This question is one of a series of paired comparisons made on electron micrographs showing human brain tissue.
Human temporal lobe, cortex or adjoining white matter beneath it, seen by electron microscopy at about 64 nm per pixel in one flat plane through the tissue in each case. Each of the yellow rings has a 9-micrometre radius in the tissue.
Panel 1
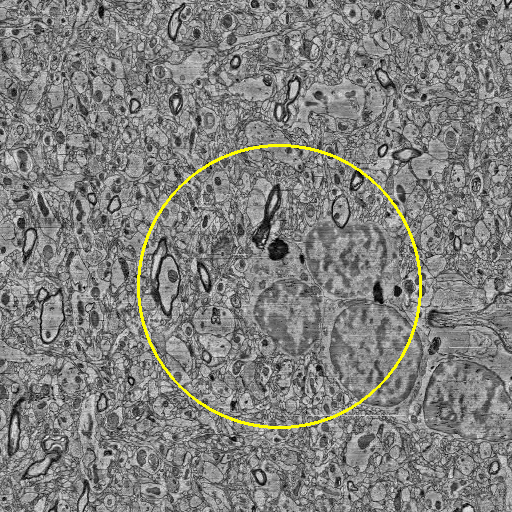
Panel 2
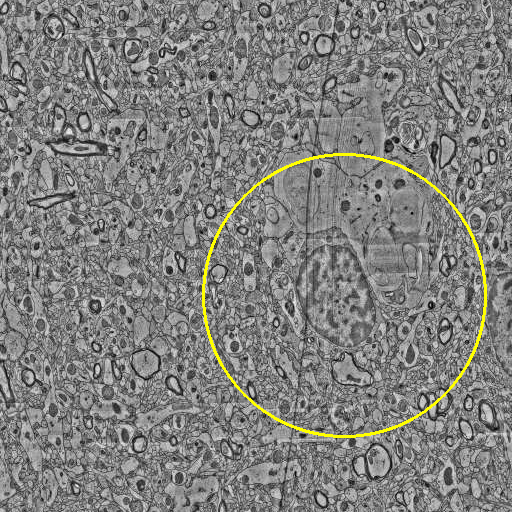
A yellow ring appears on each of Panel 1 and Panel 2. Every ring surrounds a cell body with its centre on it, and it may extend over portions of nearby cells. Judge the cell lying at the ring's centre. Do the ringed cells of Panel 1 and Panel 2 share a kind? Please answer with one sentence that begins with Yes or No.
Yes, the ring-centre cell in Panel 1 and the one in Panel 2 are of one kind.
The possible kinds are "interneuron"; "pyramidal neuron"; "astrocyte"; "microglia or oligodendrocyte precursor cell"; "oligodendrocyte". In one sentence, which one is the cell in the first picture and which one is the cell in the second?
In each picture the ringed cell is an oligodendrocyte.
